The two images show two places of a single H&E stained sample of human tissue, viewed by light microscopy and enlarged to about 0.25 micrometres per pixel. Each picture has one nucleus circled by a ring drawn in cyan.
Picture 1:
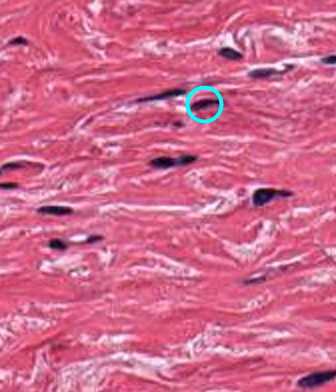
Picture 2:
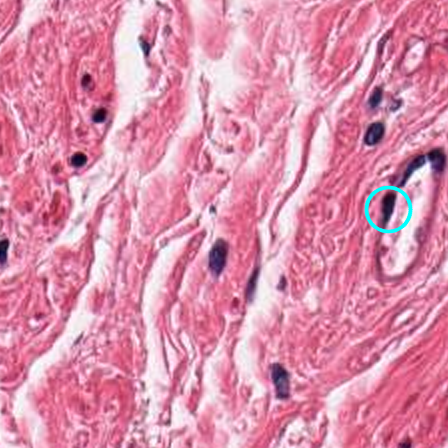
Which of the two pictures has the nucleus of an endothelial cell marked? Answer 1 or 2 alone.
2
